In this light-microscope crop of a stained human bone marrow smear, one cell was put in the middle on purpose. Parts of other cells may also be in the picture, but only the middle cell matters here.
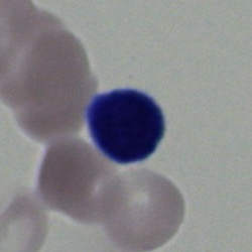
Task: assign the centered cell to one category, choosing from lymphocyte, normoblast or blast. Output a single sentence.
The cell at the middle of the crop is recognized as a lymphocyte.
